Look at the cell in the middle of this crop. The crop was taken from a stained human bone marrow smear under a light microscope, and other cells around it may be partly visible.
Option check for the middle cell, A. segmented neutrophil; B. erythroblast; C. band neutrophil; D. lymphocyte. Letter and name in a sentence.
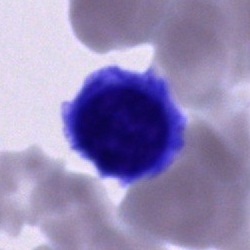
The correct response is option B, naming the cell in the middle as an erythroblast.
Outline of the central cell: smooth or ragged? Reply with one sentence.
Irregular rather than smooth, the cell margin shows ragged areas or projections.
